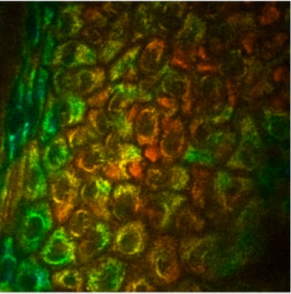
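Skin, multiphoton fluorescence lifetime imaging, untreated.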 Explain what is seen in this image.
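This is the spinal layer of the epidermis, seen en face as a dense cobblestone sheet of small polygonal keratinocytes. Each cell has a dark central nucleus surrounded by a bright ring of cytoplasm in yellow, orange and green. Narrow dark lines separate neighbouring cells into a regular network. At the left edge the cells appear elongated and glow more green.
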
